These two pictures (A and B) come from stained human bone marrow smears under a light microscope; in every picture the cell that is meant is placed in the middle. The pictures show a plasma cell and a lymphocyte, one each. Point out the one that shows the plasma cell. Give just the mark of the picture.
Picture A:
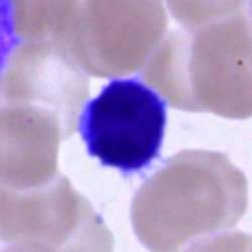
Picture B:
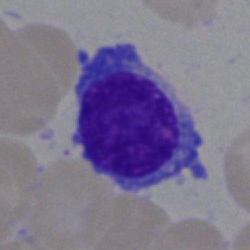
B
